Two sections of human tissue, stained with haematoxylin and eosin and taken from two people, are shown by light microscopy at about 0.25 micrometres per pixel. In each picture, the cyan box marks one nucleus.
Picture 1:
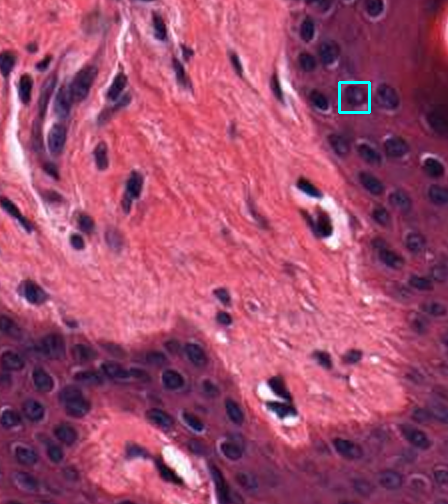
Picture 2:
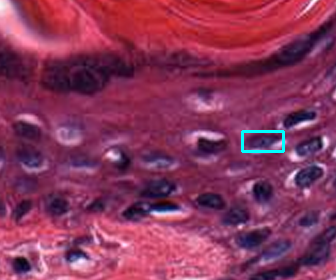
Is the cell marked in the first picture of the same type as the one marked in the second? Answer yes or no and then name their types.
Yes, both are keratinocytes.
